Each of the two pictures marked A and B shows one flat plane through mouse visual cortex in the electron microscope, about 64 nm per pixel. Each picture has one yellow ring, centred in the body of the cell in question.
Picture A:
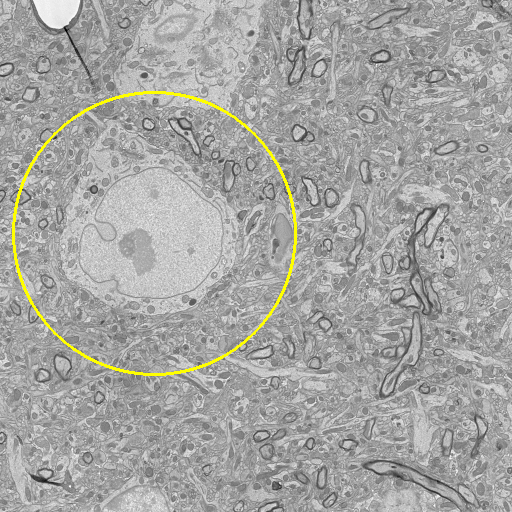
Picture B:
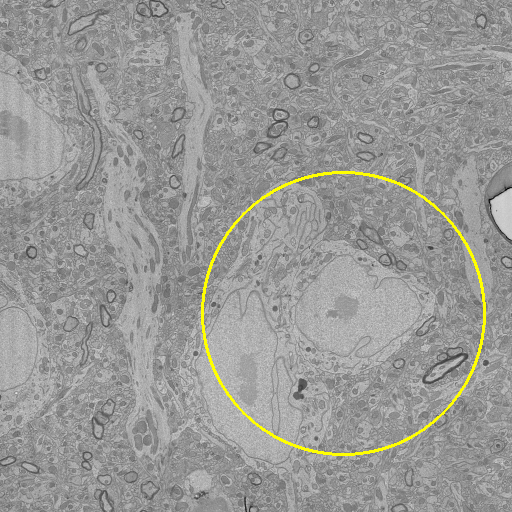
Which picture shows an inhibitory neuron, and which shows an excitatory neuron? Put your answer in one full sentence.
Picture A shows an excitatory neuron and picture B shows an inhibitory neuron.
